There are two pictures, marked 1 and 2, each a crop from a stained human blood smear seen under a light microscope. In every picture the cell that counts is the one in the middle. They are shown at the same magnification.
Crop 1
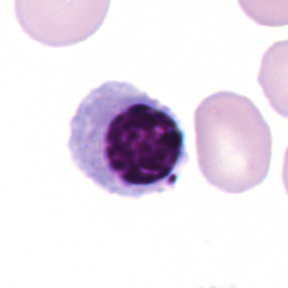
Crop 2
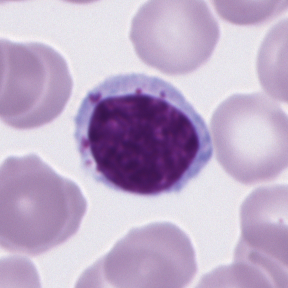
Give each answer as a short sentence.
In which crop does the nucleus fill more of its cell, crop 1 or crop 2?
Of the two, the nucleus in crop 2 makes up the greater part of its cell.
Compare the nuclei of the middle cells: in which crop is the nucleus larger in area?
Larger is the nucleus in crop 2, at roughly 2 times the area of the other.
